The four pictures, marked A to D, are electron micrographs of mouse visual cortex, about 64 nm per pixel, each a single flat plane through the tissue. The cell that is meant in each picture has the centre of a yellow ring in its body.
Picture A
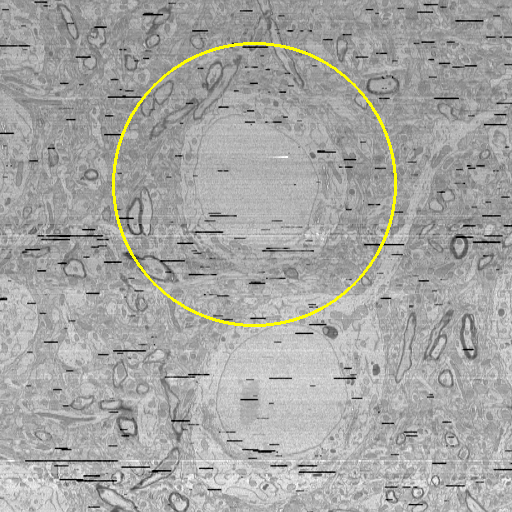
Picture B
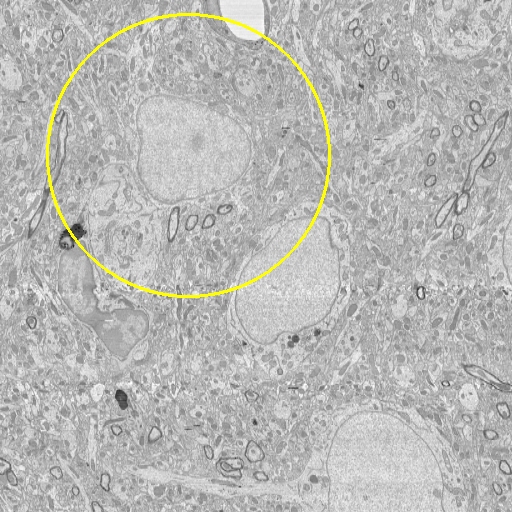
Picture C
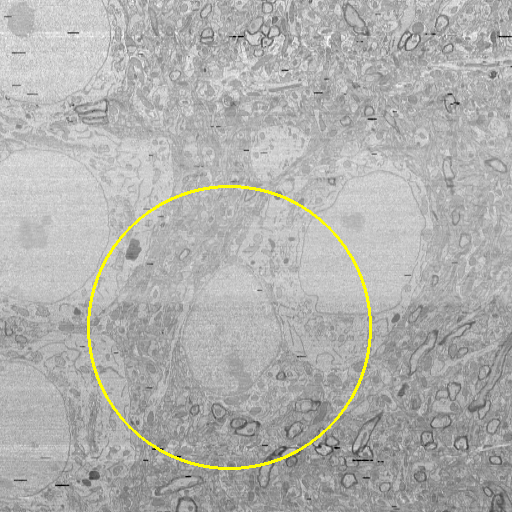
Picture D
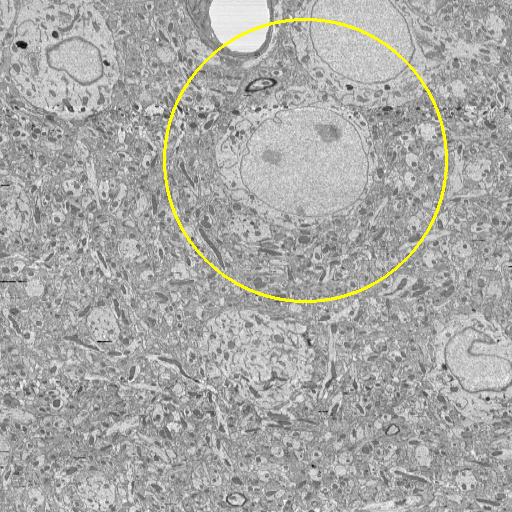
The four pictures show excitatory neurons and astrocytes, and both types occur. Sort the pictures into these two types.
Pictures A and D show excitatory neurons, and pictures B and C show astrocytes.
